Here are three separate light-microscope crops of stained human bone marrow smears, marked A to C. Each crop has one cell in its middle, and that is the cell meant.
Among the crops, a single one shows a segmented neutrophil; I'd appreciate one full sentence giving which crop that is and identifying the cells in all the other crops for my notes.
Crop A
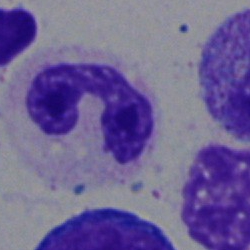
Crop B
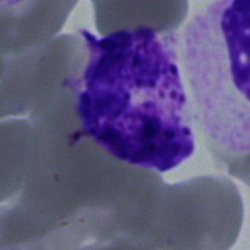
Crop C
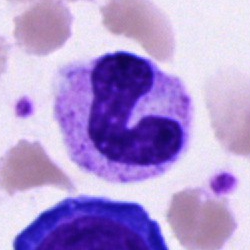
Crop A shows a segmented neutrophil in its middle, while crop B is a basophil and crop C is a band neutrophil.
